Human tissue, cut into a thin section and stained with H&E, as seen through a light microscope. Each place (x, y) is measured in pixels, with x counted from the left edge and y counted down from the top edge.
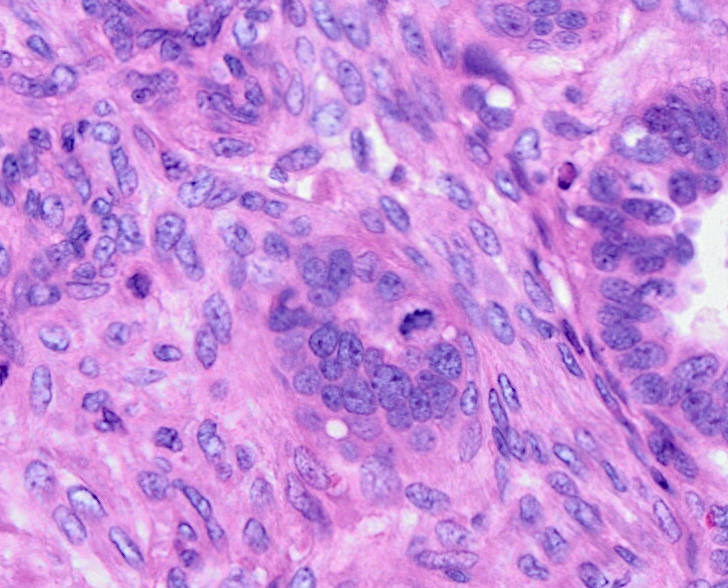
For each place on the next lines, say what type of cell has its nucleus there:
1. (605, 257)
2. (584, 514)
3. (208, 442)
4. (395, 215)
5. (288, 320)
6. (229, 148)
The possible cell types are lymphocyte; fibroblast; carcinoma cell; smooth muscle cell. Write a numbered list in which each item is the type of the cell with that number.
1. carcinoma cell
2. fibroblast
3. fibroblast
4. fibroblast
5. carcinoma cell
6. fibroblast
